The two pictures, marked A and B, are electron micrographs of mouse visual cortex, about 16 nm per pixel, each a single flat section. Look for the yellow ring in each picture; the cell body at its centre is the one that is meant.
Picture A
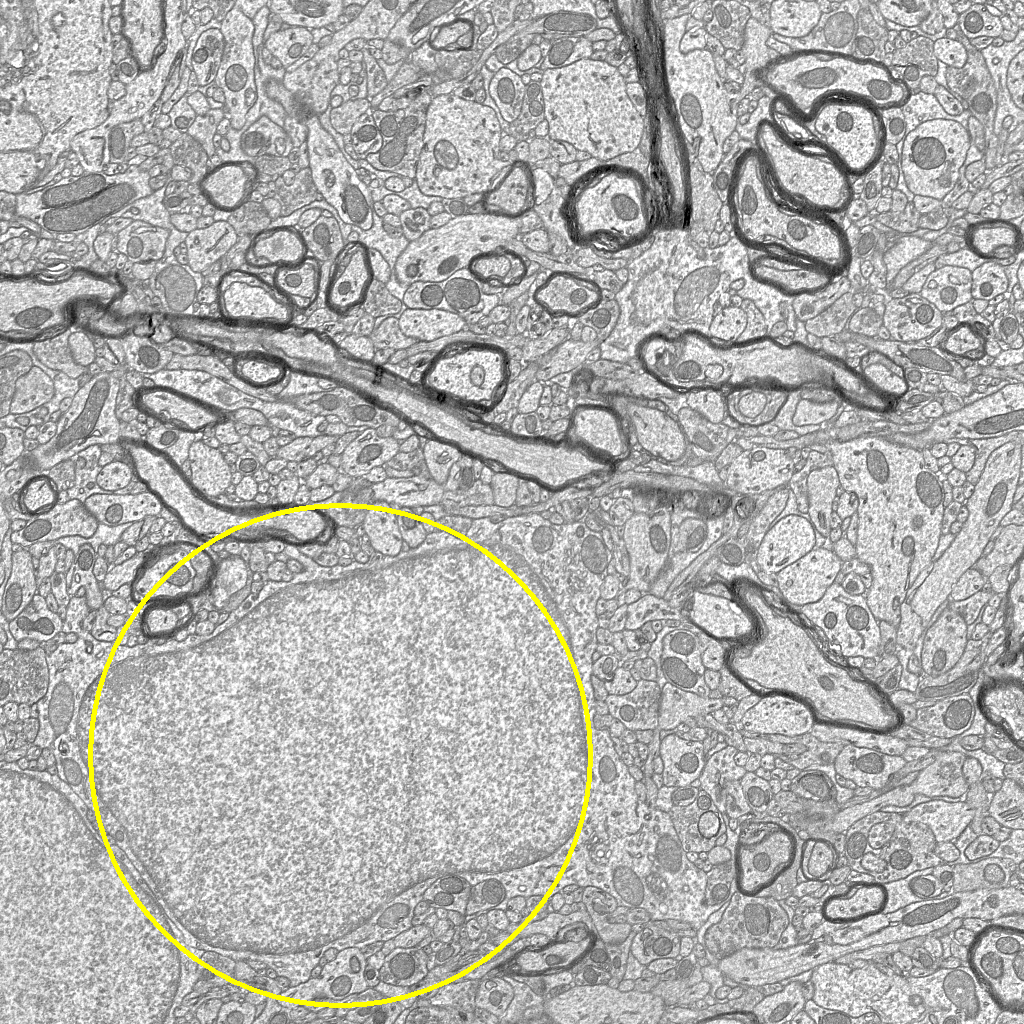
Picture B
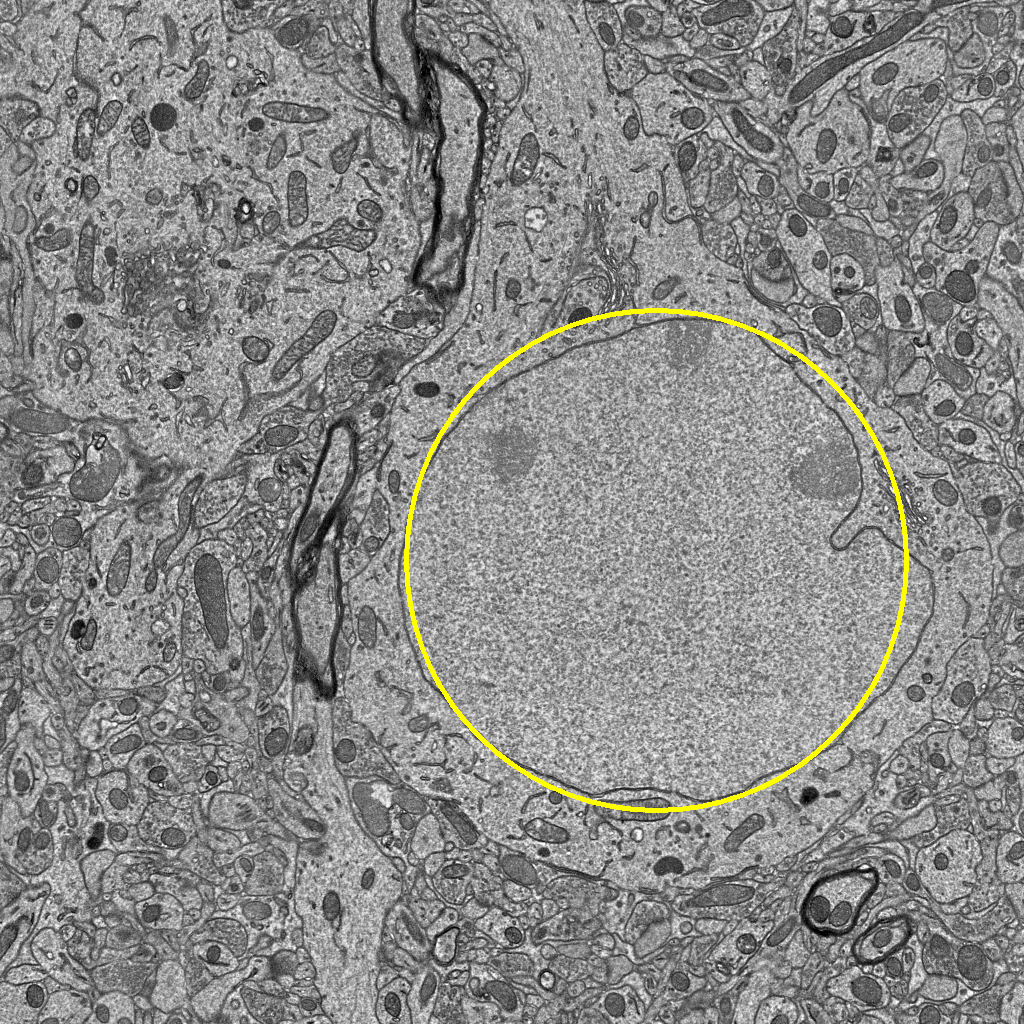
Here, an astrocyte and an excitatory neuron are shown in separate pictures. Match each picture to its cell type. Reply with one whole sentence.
In picture A the cell is an astrocyte; in picture B, an excitatory neuron.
